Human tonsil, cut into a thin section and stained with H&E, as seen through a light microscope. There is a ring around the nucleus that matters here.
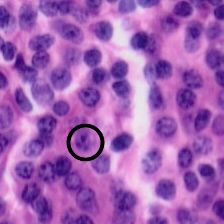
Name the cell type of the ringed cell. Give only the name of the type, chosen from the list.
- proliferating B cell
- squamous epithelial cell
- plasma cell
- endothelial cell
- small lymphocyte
plasma cell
